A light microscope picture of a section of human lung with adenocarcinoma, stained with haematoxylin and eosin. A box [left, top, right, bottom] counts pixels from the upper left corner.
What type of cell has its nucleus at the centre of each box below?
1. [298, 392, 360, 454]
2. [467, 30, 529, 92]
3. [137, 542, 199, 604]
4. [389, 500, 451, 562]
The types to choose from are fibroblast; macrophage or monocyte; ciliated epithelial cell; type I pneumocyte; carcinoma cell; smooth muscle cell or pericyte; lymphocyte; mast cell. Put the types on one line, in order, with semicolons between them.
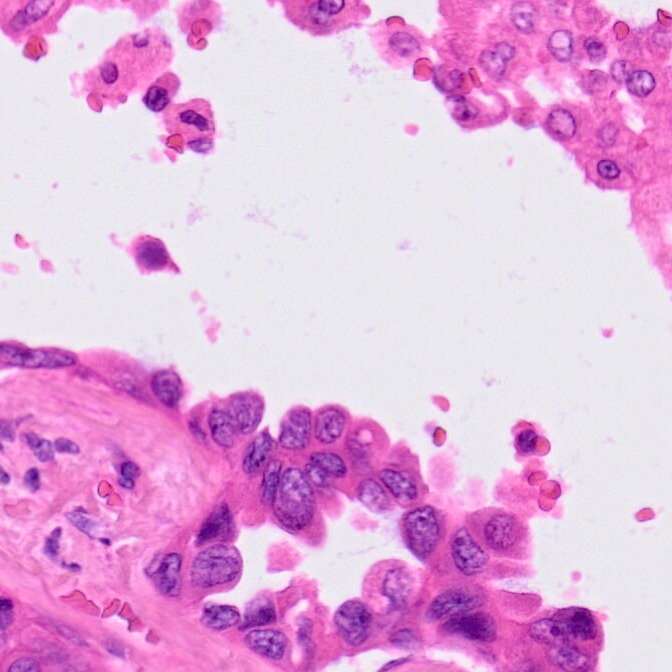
carcinoma cell; macrophage or monocyte; carcinoma cell; carcinoma cell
